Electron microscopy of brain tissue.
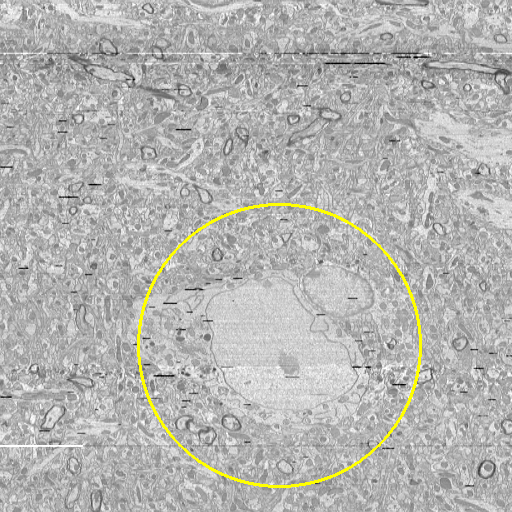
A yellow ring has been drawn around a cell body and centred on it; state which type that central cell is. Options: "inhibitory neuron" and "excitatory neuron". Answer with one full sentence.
The cell at the middle of the yellow ring is an excitatory neuron in this picture.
